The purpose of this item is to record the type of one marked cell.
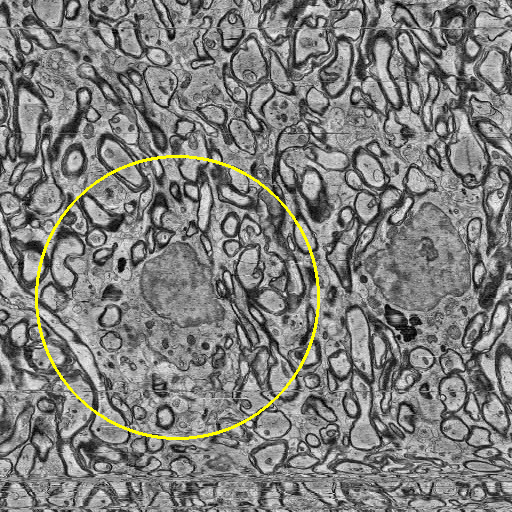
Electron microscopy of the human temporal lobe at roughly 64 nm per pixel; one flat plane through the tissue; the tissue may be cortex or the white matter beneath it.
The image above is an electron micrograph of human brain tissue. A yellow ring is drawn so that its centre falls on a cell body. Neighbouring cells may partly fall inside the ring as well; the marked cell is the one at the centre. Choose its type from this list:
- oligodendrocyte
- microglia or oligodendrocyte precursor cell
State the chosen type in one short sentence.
What the ring marks here is an oligodendrocyte.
